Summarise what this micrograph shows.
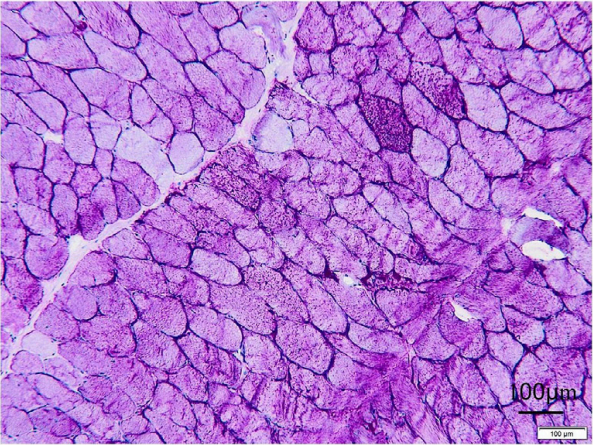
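Cross-section of skeletal muscle fibers stained magenta to purple, with staining intensity varying from fiber to fiber. Several fibers contain coarse, dark purple granular deposits, and darker purple material outlines many fiber borders. Pale connective tissue septa separate groups of fibers, and small empty spaces lie between some fibers.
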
